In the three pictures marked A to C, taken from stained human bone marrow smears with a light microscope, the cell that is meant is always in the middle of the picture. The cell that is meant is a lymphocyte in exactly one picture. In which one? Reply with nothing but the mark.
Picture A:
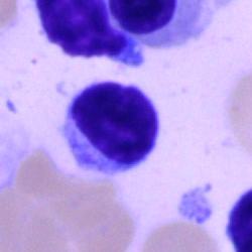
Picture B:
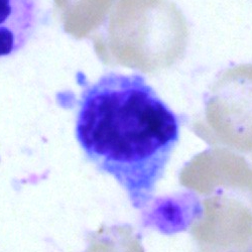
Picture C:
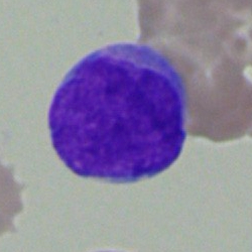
A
